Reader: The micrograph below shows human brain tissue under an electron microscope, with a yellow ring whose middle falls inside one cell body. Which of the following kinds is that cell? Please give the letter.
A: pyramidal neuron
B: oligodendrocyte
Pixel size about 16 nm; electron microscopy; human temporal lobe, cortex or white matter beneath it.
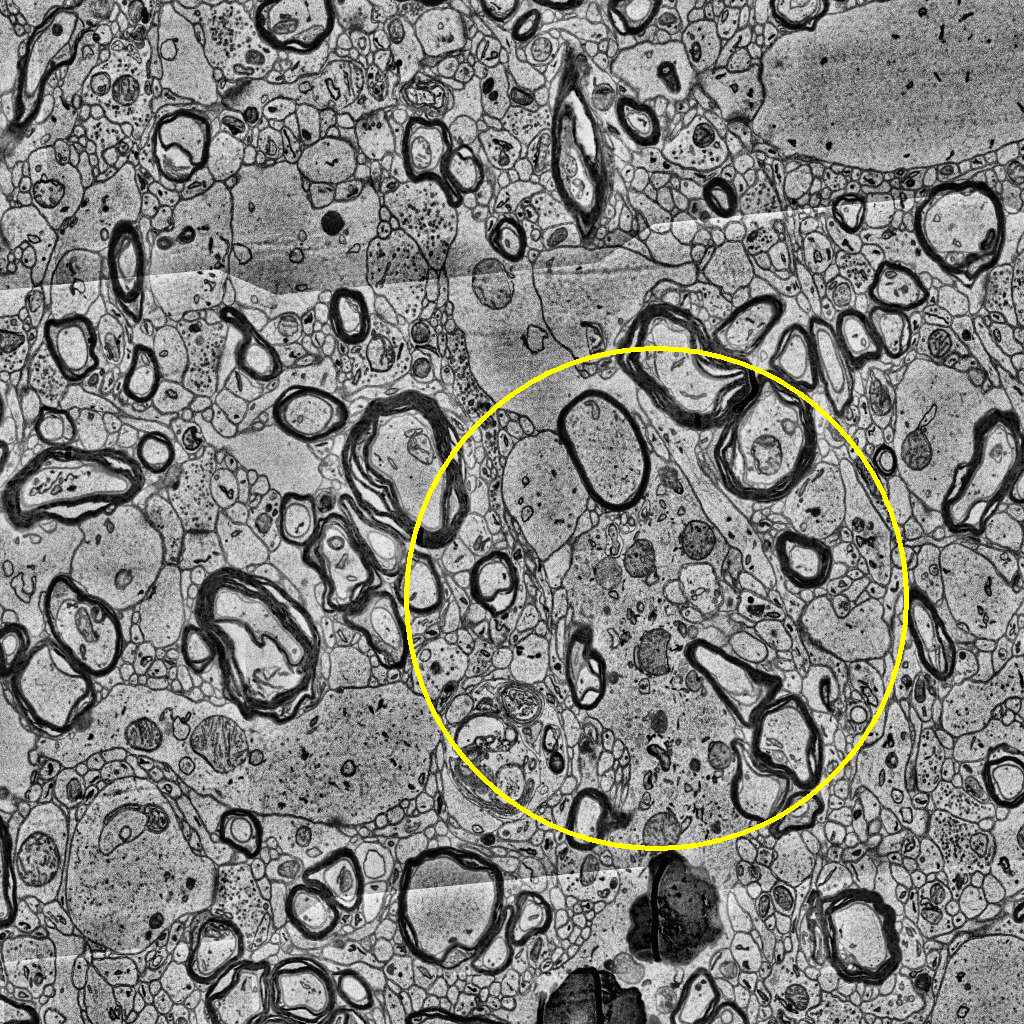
B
